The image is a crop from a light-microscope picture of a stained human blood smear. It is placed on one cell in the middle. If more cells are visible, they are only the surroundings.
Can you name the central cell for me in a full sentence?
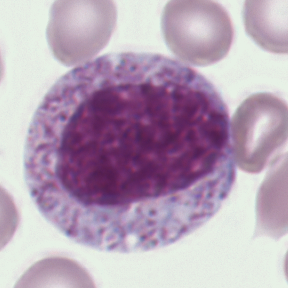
The central cell in this smear crop is a myelocyte.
